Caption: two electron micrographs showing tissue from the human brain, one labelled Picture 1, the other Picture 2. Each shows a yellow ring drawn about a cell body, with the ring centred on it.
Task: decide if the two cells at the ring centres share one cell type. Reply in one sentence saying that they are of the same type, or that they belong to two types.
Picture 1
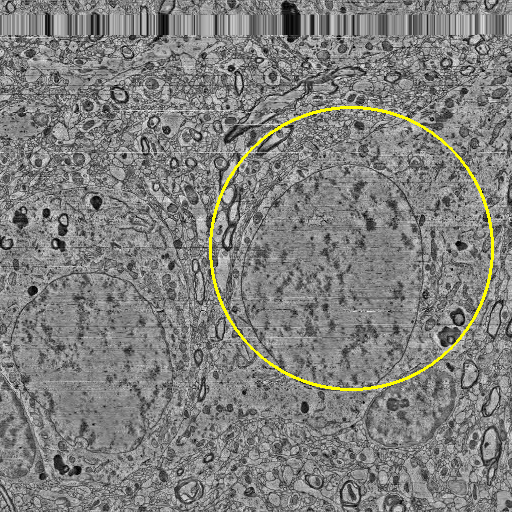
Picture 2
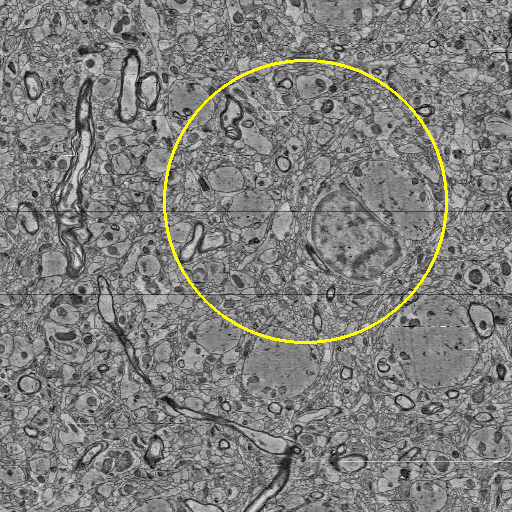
The cells at the ring centres in Picture 1 and Picture 2 belong to two types.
